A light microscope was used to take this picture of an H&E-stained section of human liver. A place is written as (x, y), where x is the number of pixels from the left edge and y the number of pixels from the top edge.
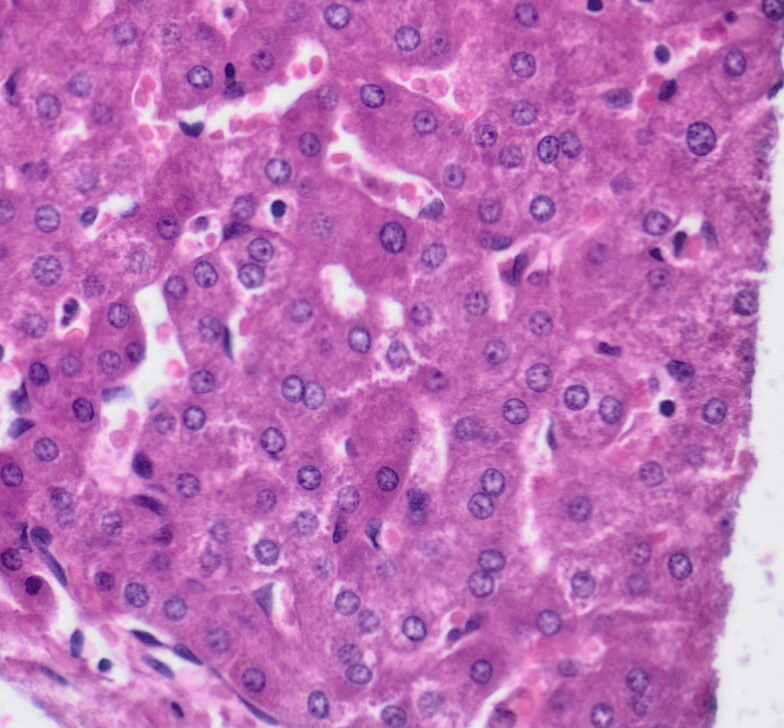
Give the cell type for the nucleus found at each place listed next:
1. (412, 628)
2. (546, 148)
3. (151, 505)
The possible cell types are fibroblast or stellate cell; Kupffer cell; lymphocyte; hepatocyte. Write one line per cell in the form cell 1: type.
cell 1: hepatocyte
cell 2: hepatocyte
cell 3: fibroblast or stellate cell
